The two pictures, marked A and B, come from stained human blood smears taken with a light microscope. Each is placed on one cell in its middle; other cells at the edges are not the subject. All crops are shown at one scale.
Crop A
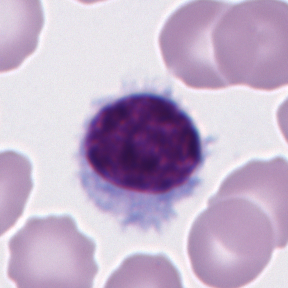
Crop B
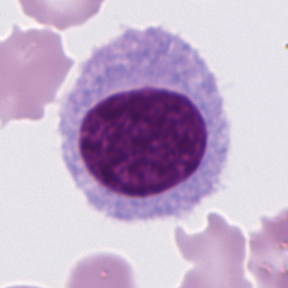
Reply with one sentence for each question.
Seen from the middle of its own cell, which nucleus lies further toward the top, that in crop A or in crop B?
It is the nucleus in crop A that lies further toward the top of its cell.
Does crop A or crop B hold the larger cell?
The cell in crop B is larger, with about 2 times the area of the one in crop A.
